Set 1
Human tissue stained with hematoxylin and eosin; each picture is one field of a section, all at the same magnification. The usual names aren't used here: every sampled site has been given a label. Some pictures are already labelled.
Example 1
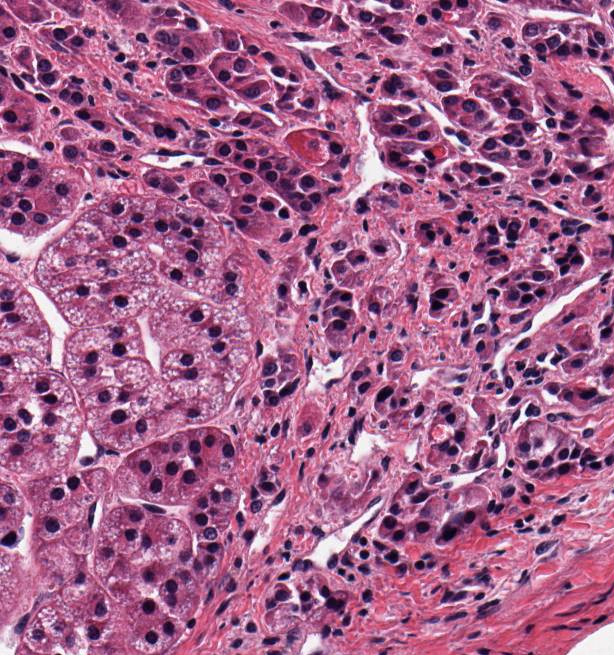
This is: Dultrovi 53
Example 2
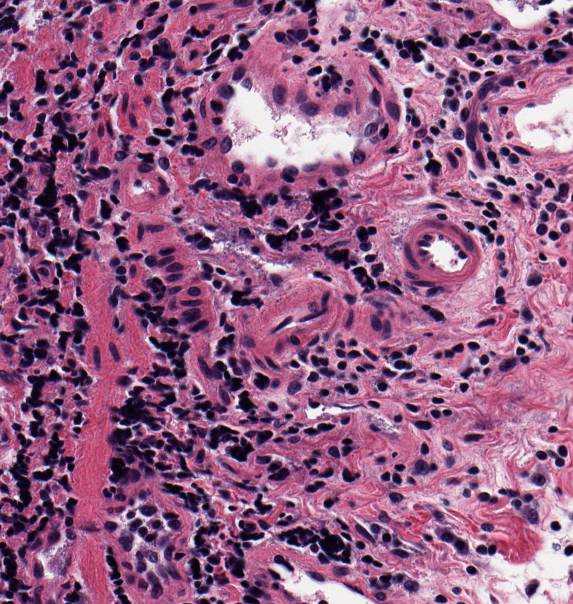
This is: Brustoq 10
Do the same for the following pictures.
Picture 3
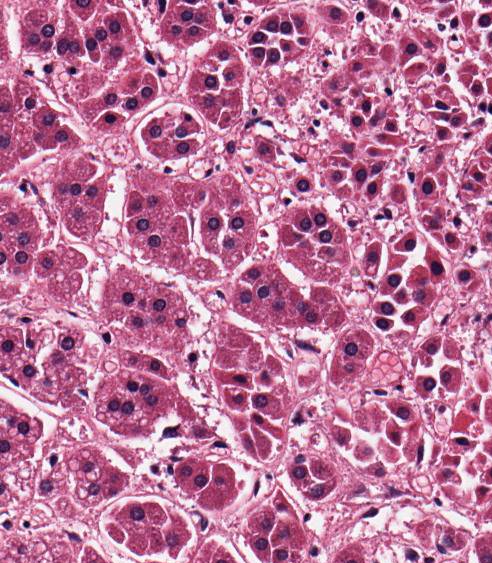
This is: Dultrovi 53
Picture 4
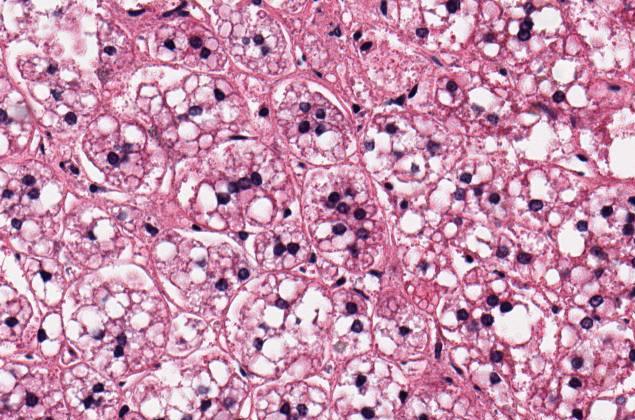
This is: Dultrovi 53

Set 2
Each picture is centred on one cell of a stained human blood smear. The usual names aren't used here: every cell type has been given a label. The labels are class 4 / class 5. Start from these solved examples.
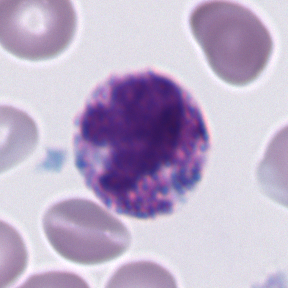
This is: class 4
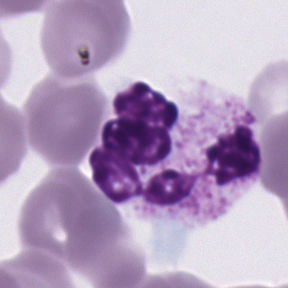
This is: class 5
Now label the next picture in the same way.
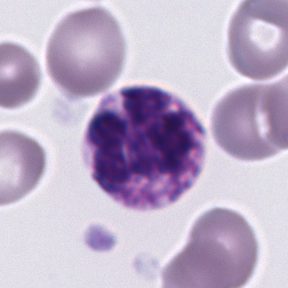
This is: class 4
